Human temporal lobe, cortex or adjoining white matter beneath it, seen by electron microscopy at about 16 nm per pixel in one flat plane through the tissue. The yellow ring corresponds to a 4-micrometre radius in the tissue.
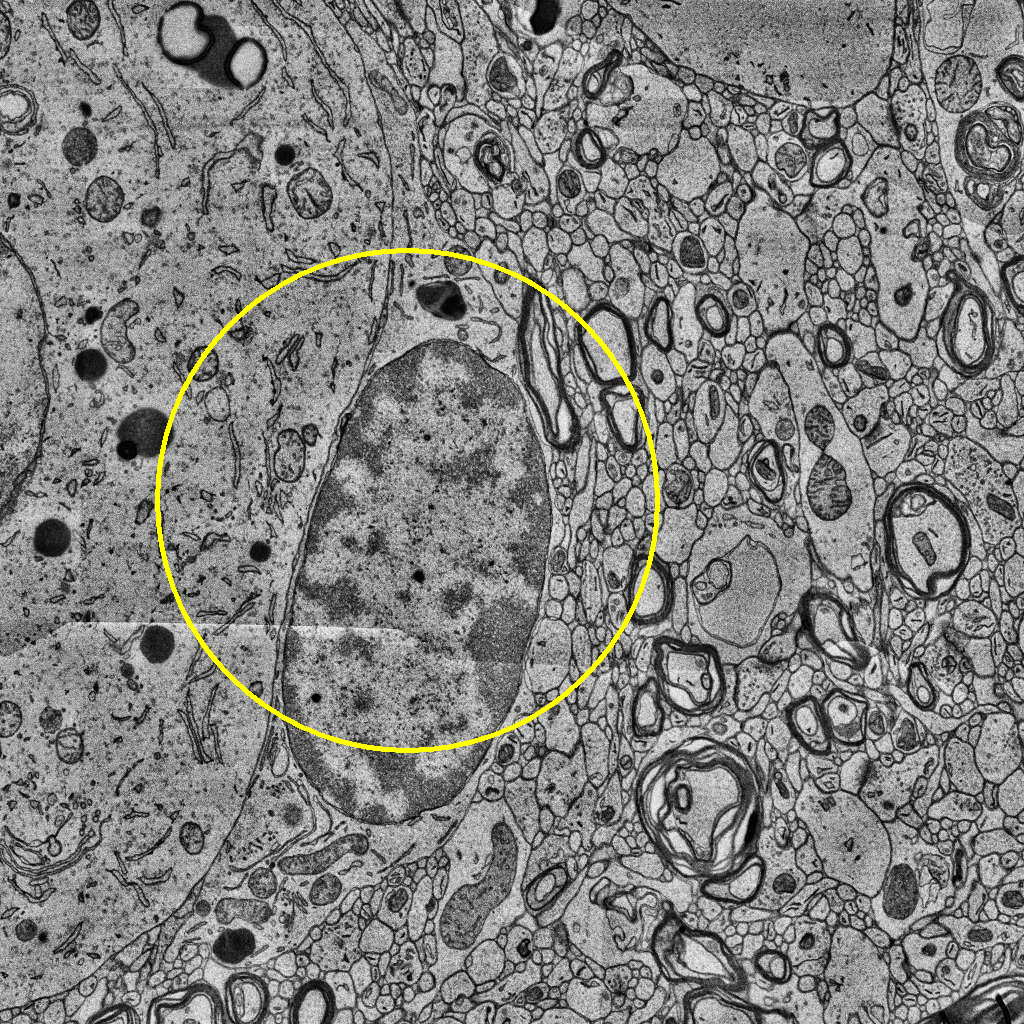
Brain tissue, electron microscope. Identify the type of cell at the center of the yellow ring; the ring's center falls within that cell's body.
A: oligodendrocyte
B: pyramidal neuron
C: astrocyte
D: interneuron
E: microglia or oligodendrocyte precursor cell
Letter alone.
E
